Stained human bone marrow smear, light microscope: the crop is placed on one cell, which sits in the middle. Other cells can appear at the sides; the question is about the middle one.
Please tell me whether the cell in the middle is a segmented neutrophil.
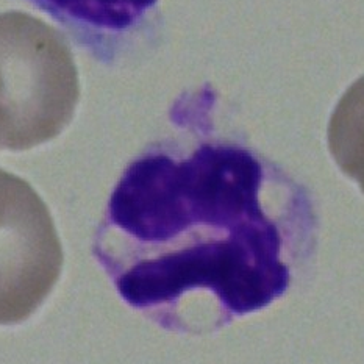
yes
